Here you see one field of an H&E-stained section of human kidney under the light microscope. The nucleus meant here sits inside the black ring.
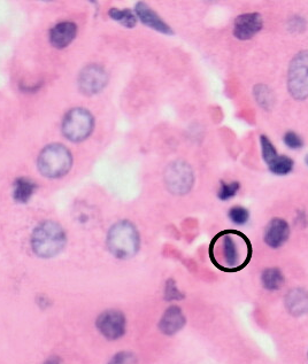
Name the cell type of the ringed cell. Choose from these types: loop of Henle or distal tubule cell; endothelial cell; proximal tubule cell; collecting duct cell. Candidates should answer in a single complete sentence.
Students should answer that the ringed cell is an endothelial cell.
